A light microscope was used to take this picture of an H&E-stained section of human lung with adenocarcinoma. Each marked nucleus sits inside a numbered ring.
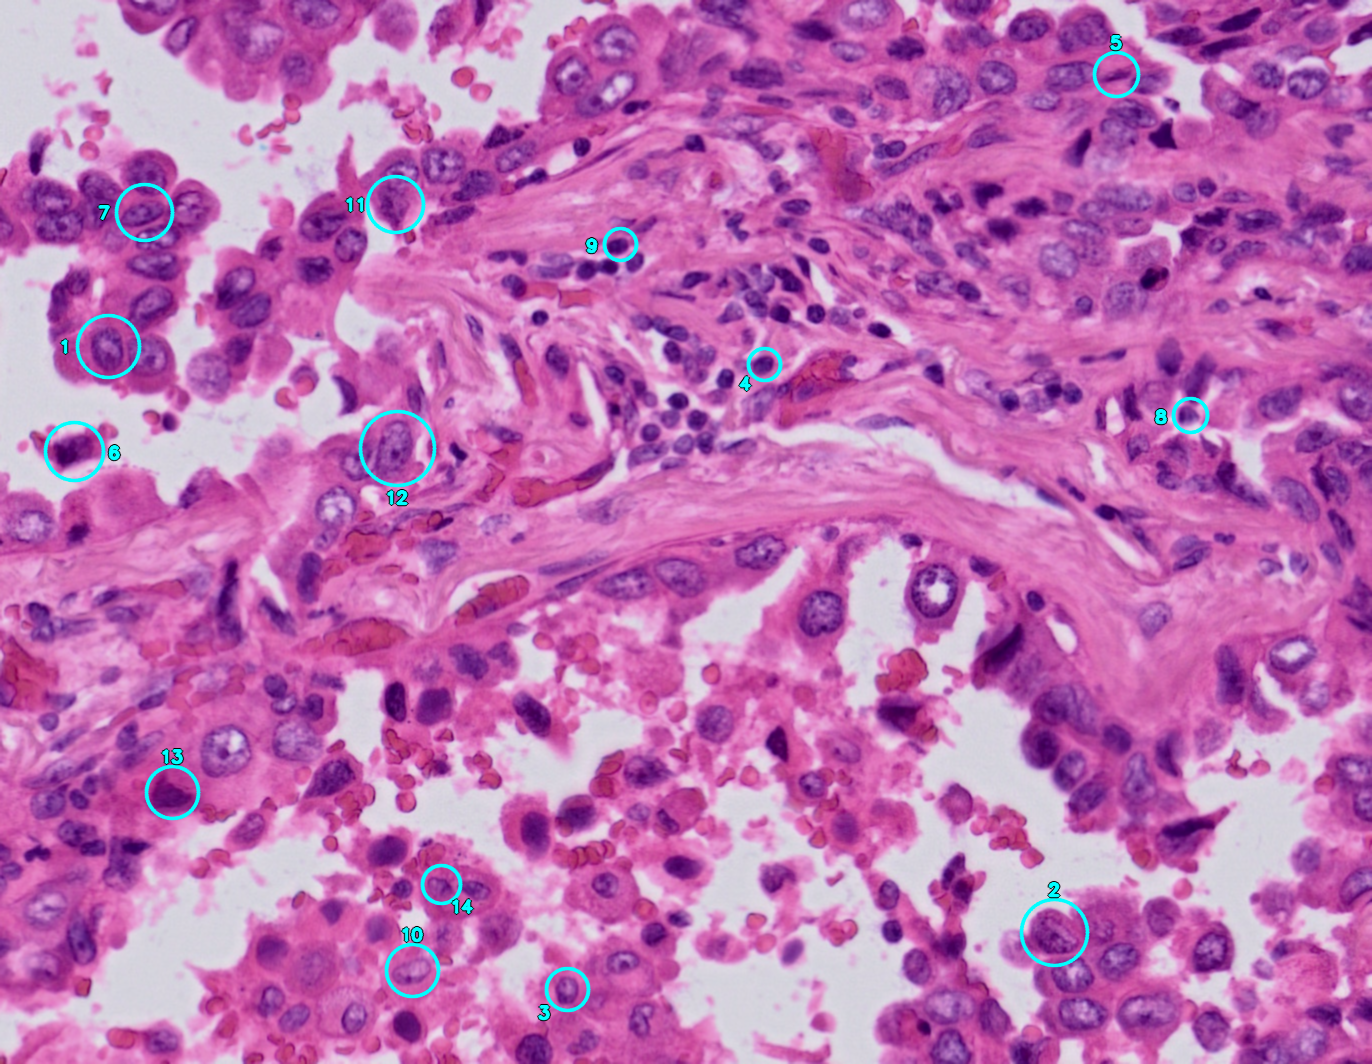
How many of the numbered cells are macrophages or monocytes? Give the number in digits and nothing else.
3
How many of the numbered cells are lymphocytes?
3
